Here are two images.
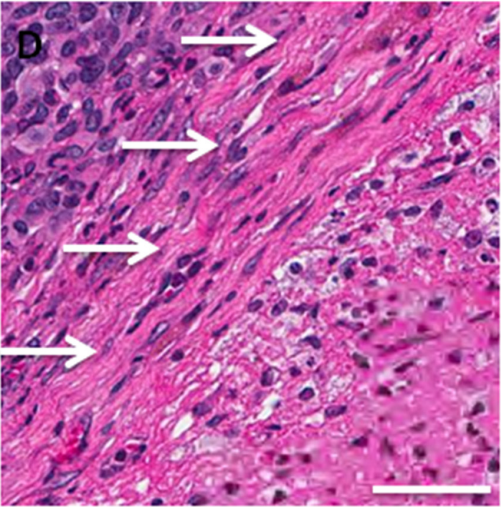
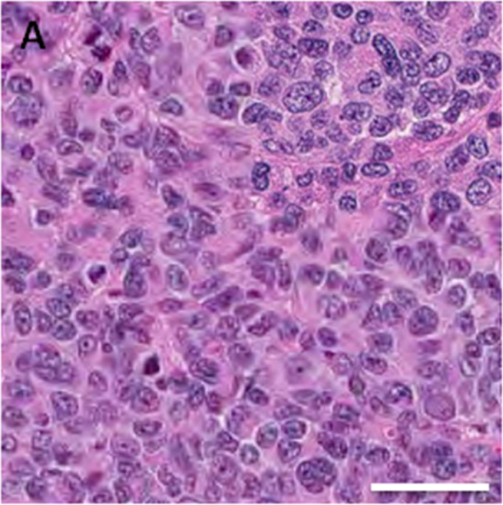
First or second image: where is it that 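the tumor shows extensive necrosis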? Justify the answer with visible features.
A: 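The first image. Second image: the whole field is filled with intact tumor cells with well-preserved nuclei.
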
